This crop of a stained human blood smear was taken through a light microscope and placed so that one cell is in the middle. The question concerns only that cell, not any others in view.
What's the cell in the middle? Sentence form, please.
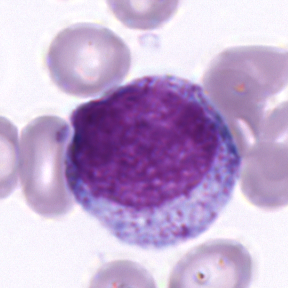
The crop centres on a single cell, and that cell is a promyelocyte.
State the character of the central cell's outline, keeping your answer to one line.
Smooth edges only, with no spikes, blebs, or other projections.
